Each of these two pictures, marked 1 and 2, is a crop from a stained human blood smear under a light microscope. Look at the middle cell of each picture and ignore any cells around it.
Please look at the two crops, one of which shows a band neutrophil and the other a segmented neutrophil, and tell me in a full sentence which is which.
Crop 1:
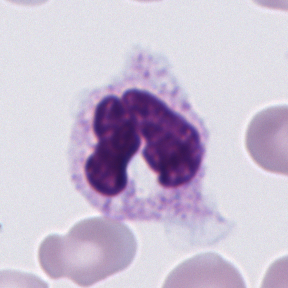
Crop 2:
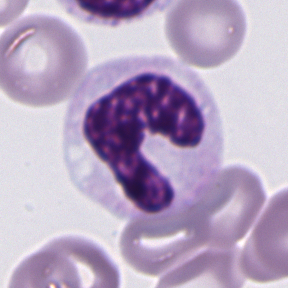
Crop 1 is a segmented neutrophil, whereas a band neutrophil is found in crop 2.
